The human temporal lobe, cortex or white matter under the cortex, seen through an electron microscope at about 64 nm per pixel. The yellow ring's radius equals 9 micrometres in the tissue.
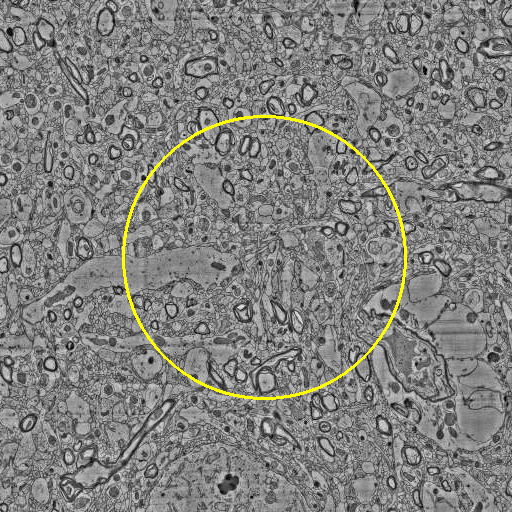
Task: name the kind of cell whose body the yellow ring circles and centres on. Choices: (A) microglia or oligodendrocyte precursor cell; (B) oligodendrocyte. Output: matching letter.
B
